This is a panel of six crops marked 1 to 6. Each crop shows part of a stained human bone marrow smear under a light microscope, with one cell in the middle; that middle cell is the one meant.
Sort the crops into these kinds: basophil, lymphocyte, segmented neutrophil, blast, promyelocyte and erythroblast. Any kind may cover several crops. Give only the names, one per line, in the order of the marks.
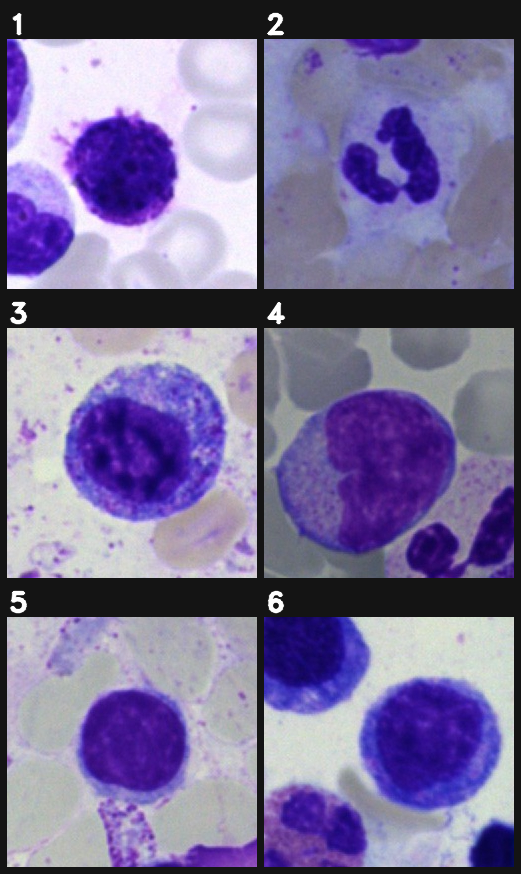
basophil
segmented neutrophil
promyelocyte
blast
lymphocyte
blast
